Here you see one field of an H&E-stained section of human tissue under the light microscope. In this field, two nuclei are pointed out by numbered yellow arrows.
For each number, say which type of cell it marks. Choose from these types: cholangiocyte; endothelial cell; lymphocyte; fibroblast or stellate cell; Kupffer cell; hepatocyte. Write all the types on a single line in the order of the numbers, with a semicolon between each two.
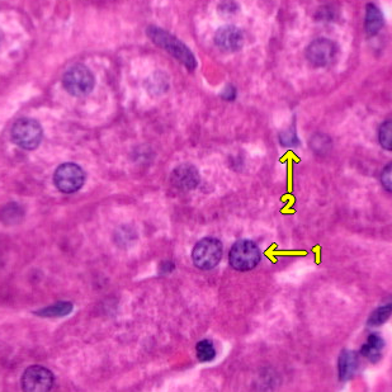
hepatocyte; endothelial cell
